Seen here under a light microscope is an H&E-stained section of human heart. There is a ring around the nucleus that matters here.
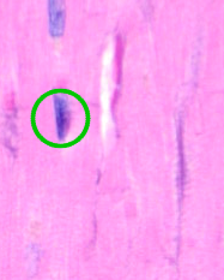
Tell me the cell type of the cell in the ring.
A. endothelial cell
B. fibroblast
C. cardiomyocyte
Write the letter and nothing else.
A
